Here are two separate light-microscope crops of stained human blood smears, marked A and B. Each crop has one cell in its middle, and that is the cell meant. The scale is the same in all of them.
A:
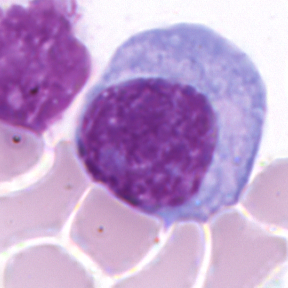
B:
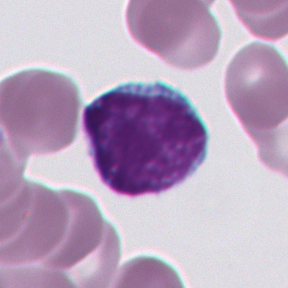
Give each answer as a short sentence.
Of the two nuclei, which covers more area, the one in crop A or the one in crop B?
Crop A shows the larger nucleus; it covers about 1.5 times the area of the nucleus in crop B.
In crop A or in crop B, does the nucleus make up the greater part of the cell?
Of the two, the nucleus in crop B makes up the greater part of its cell.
